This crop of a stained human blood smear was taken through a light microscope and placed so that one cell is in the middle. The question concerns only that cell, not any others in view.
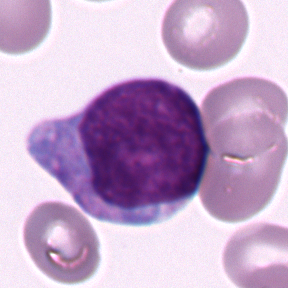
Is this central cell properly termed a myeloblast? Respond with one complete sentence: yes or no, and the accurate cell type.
No, the identification should read an atypical promyelocyte, not a myeloblast, for the central cell.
